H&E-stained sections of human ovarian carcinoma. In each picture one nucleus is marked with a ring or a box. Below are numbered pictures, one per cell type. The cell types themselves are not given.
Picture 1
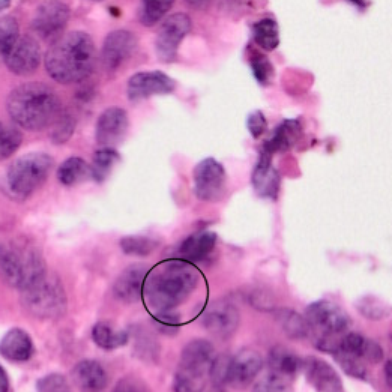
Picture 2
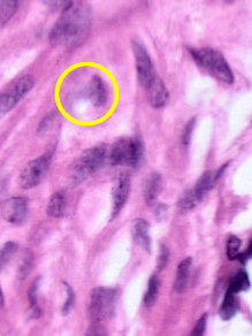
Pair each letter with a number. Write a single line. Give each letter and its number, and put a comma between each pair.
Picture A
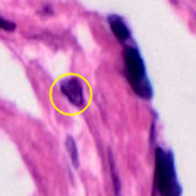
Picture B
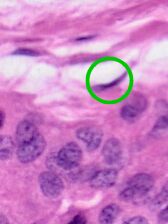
A 2, B 2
